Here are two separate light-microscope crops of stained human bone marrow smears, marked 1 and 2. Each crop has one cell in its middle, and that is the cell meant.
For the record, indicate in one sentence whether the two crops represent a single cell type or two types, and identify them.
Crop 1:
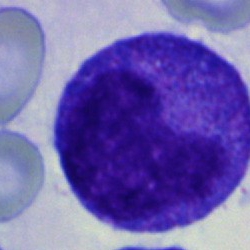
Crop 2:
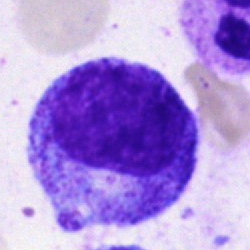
Yes, the cells of interest in both crops are promyelocytes.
